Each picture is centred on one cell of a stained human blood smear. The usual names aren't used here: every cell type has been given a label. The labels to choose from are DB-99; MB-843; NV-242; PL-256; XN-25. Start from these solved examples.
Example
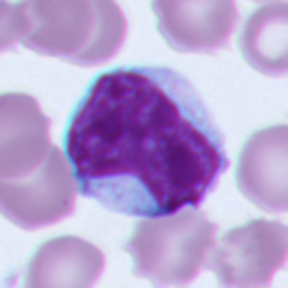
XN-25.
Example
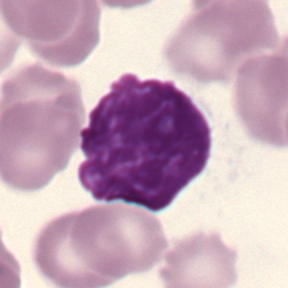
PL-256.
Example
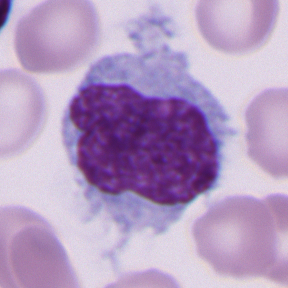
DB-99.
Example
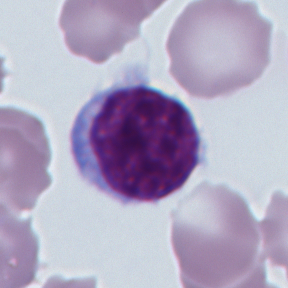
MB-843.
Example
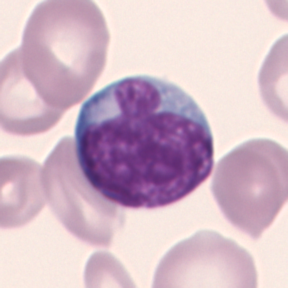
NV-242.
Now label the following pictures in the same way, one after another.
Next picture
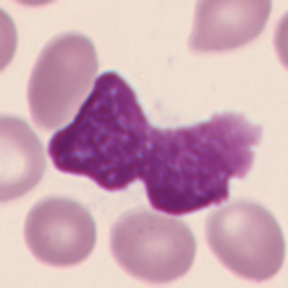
PL-256.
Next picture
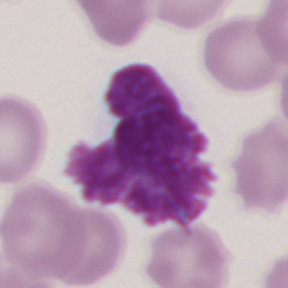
PL-256.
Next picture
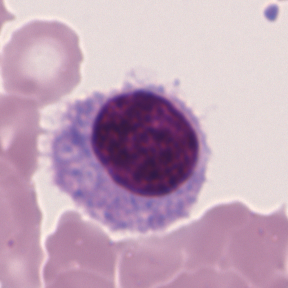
MB-843.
